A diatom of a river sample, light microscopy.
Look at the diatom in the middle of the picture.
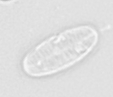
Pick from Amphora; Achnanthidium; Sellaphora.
Achnanthidium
